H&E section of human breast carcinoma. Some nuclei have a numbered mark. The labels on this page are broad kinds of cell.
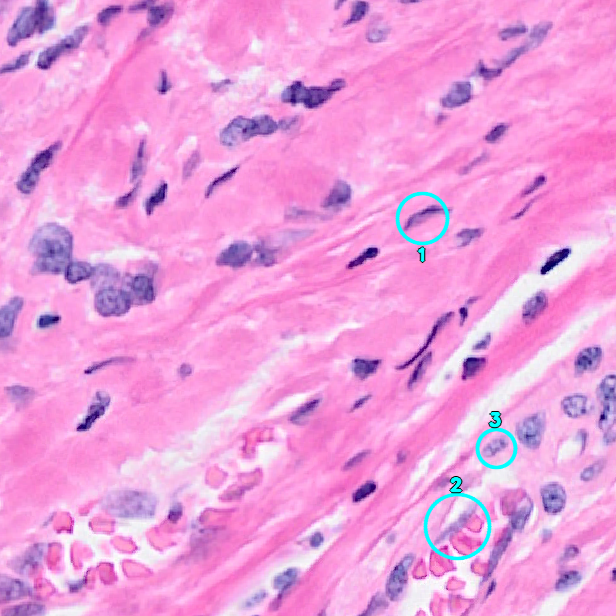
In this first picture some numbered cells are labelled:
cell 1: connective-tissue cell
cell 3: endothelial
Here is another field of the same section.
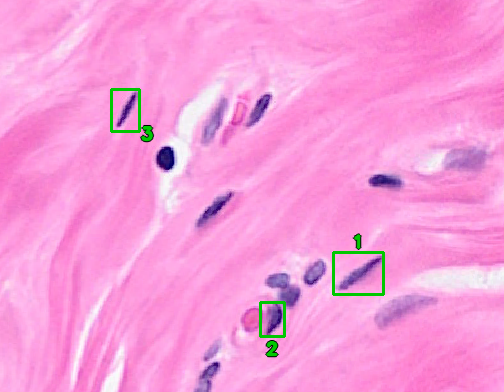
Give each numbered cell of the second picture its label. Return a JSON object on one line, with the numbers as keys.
{"1": "connective-tissue cell", "2": "endothelial", "3": "connective-tissue cell"}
